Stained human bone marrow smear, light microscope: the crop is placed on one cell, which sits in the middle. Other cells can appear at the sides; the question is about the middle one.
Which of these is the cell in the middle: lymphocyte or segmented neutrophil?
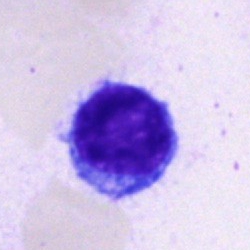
lymphocyte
